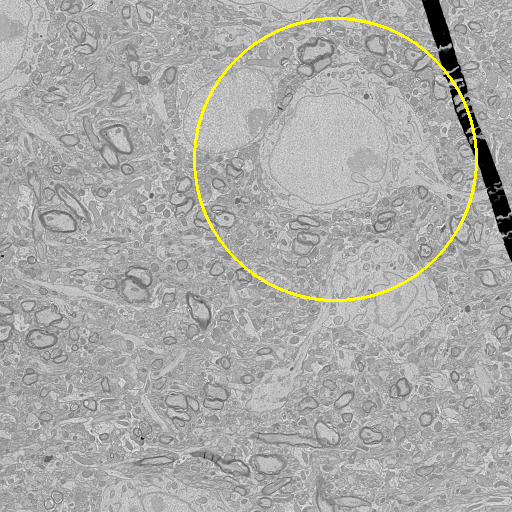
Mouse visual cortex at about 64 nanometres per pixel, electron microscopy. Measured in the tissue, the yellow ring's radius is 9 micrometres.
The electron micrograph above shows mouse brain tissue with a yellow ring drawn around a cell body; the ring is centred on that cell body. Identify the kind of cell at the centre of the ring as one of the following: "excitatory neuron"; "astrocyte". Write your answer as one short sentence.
The cell at the centre of the ring is an excitatory neuron.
